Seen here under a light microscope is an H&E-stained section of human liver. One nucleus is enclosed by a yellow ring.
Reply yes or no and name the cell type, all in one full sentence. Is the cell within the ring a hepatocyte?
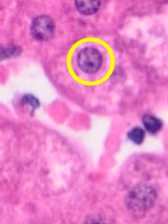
Yes, the cell type of the cell within the ring is that of a hepatocyte.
